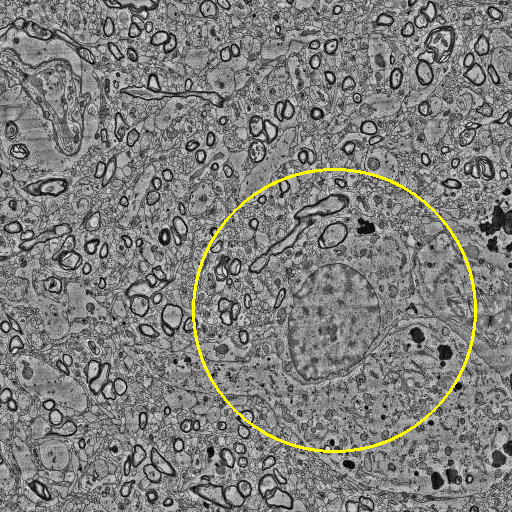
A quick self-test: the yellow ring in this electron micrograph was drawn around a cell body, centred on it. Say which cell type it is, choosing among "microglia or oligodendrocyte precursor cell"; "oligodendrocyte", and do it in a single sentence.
The yellow-ringed cell is an oligodendrocyte.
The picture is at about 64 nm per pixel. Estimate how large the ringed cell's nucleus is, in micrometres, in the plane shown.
The nucleus works out at approximately 8 by 6 micrometres in this plane.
